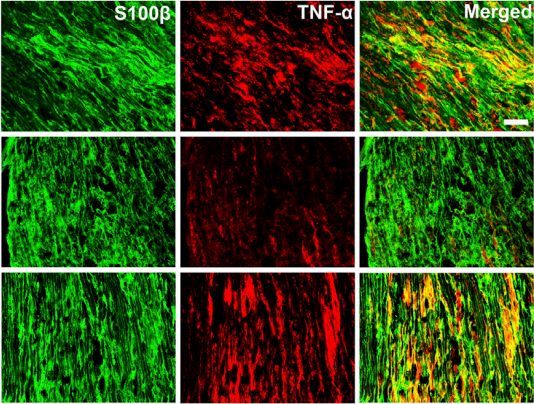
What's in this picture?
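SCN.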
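This is nerve tissue seen lengthwise, cut along its fibres. The red stain also follows the strands but is patchy. It is strong and widespread in the top and bottom rows and faint and sparse in the middle row. In the merged images, the places where red lies on green show as yellow to orange streaks. These streaks are abundant in the top and bottom rows and almost absent in the middle row, where green dominates.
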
